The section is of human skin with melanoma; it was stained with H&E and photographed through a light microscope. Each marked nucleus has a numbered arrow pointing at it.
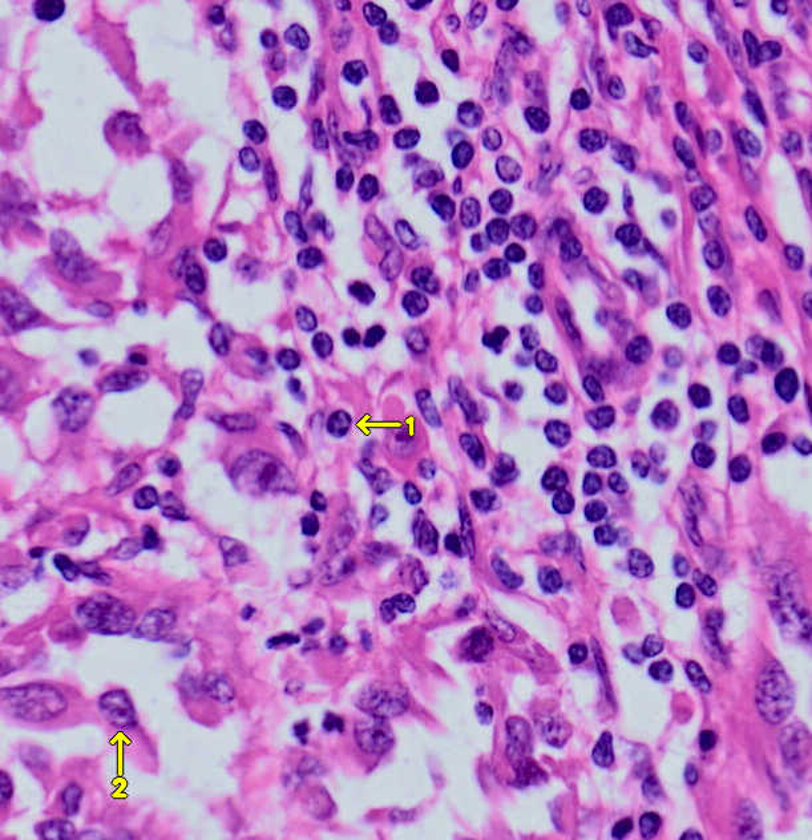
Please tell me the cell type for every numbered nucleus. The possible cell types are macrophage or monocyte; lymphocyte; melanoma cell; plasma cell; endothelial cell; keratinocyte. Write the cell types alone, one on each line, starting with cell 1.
lymphocyte
melanoma cell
